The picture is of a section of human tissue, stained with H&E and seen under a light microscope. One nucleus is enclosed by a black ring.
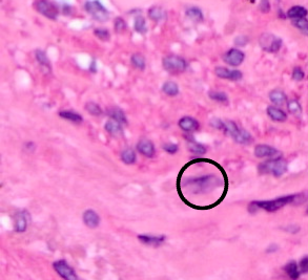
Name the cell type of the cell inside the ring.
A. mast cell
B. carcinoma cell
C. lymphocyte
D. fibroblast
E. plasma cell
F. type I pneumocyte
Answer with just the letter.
D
